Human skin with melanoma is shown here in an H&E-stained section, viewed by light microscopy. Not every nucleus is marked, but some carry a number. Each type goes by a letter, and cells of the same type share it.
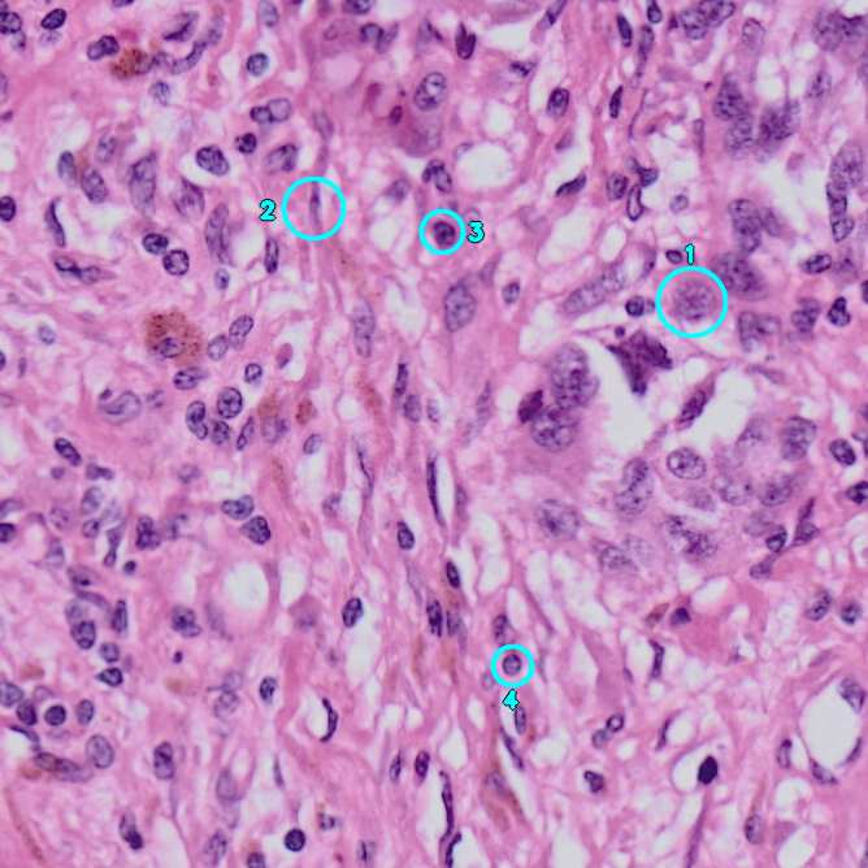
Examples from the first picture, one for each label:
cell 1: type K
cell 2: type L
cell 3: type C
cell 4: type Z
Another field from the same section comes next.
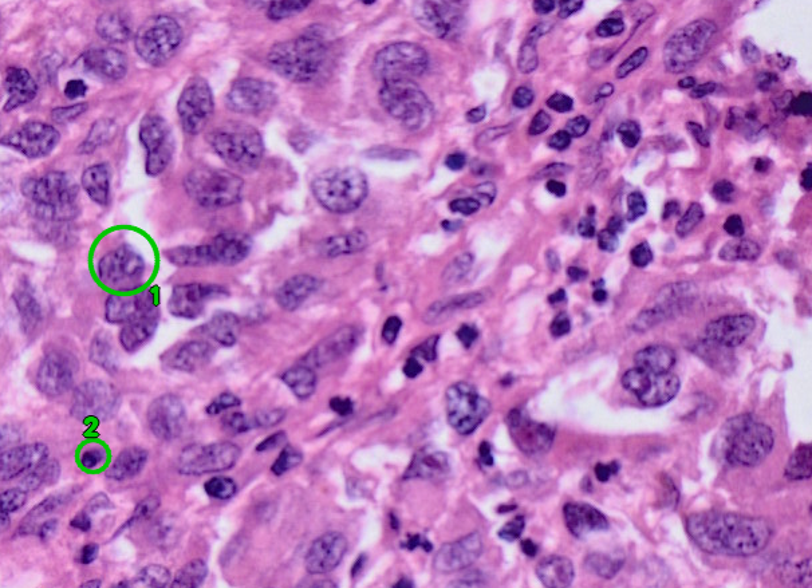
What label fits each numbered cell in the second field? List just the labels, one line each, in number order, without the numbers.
type K
type Z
